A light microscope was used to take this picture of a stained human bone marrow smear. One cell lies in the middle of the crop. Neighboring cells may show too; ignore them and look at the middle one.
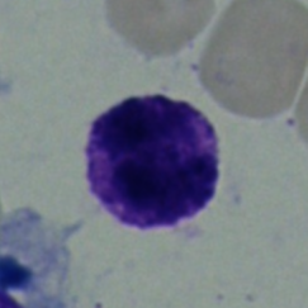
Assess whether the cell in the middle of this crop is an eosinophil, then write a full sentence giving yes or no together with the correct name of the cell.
No, the centre of the crop contains a basophil rather than an eosinophil.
